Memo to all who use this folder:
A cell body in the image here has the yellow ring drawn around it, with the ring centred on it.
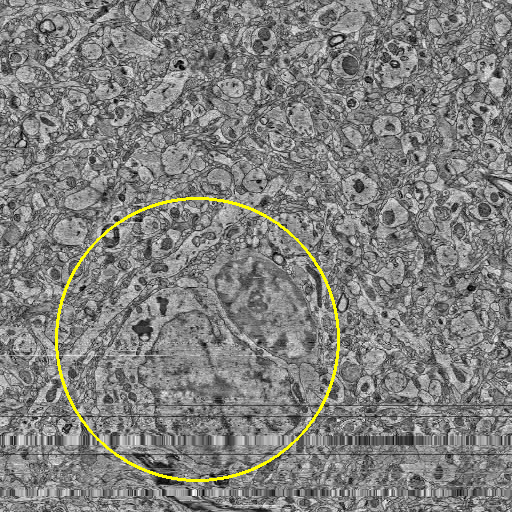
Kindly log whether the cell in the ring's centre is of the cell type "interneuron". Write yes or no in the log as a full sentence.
Yes, logged: the ring in this image is centred on a cell of that type.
